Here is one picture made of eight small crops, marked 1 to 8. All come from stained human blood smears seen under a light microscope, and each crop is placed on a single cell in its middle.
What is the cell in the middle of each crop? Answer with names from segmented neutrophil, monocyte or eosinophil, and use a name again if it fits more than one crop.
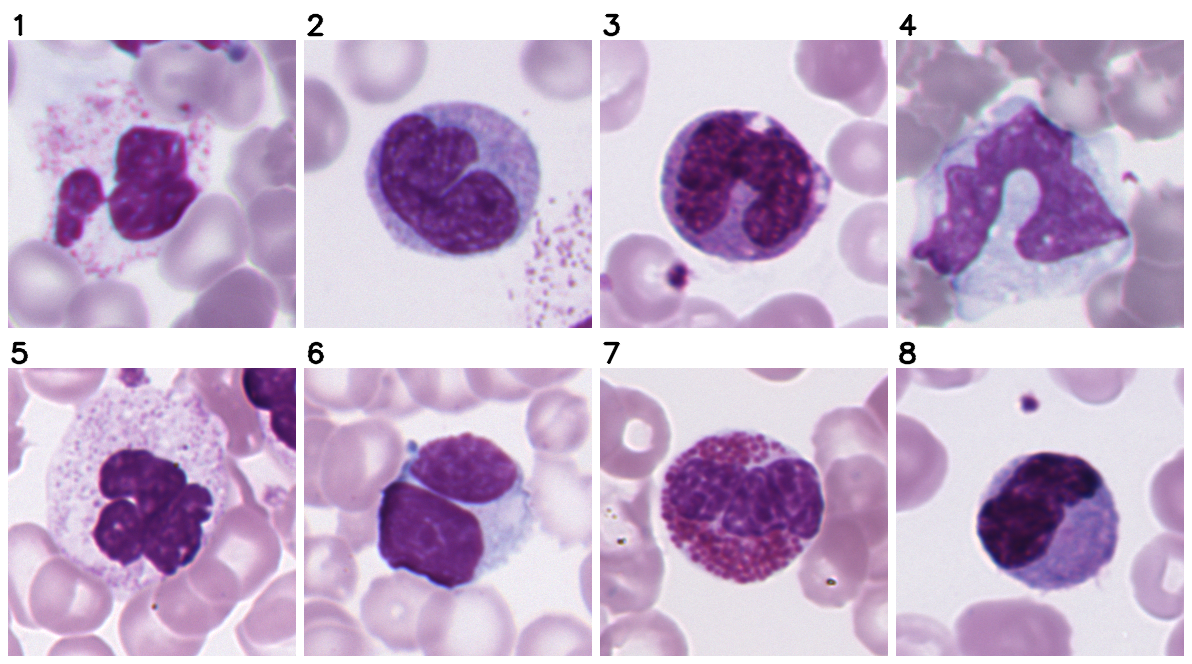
1: segmented neutrophil
2: monocyte
3: monocyte
4: monocyte
5: segmented neutrophil
6: monocyte
7: eosinophil
8: monocyte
